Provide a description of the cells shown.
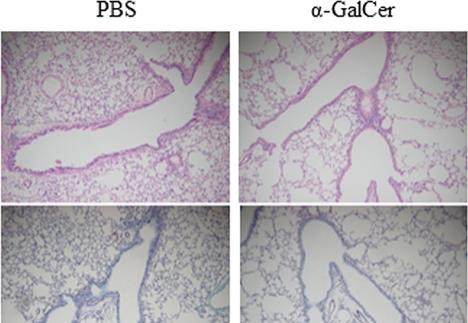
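Sections of lung show large branching airways cut lengthwise, each lined by a thin epithelial layer, beside small blood vessels. Around them lies alveolar parenchyma made of many small air spaces separated by thin septa. The top row is stained pink-purple and the bottom row has a bluish-grey tone, and only sparse cells gather around the airways and vessels.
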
